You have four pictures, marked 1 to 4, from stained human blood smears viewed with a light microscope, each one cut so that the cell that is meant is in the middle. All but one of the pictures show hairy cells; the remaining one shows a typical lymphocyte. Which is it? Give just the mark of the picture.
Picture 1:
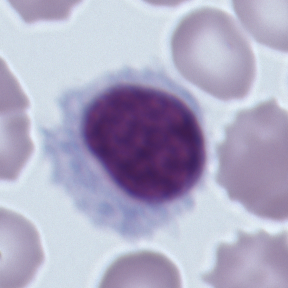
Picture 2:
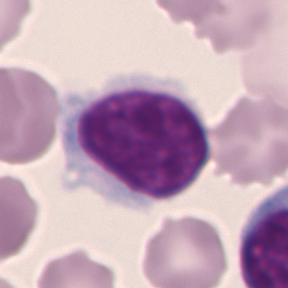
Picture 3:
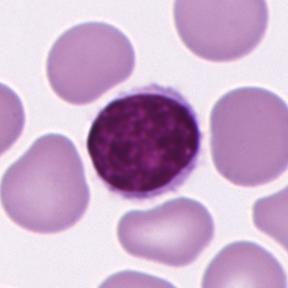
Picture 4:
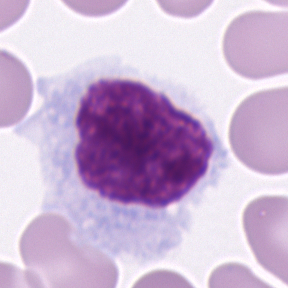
3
